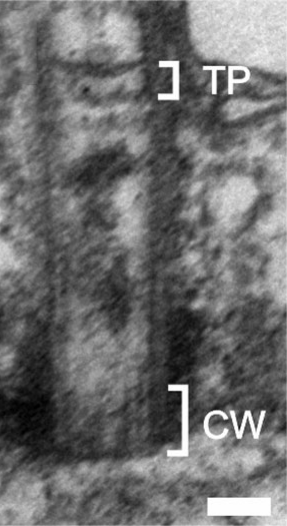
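Two dark parallel walls run from top to bottom, outlining a hollow cylinder with paler, patchy material inside. Near the upper end, a thin dense transverse plate crosses the lumen between the walls. At the lower, proximal end, a denser band of structure lies within the base of the cylinder.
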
